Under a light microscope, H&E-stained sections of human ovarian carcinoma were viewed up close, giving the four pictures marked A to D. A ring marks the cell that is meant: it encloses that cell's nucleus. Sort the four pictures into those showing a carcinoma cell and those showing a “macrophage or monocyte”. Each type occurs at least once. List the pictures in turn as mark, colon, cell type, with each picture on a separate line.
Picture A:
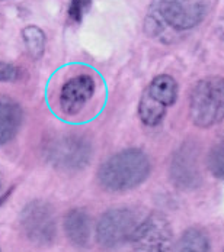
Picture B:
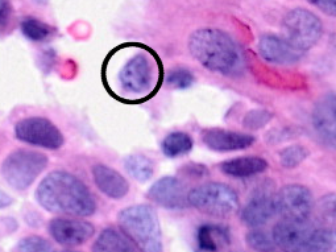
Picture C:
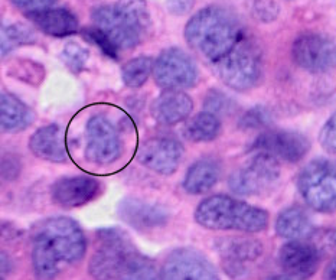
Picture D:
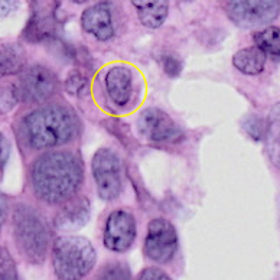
A: macrophage or monocyte
B: macrophage or monocyte
C: carcinoma cell
D: macrophage or monocyte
